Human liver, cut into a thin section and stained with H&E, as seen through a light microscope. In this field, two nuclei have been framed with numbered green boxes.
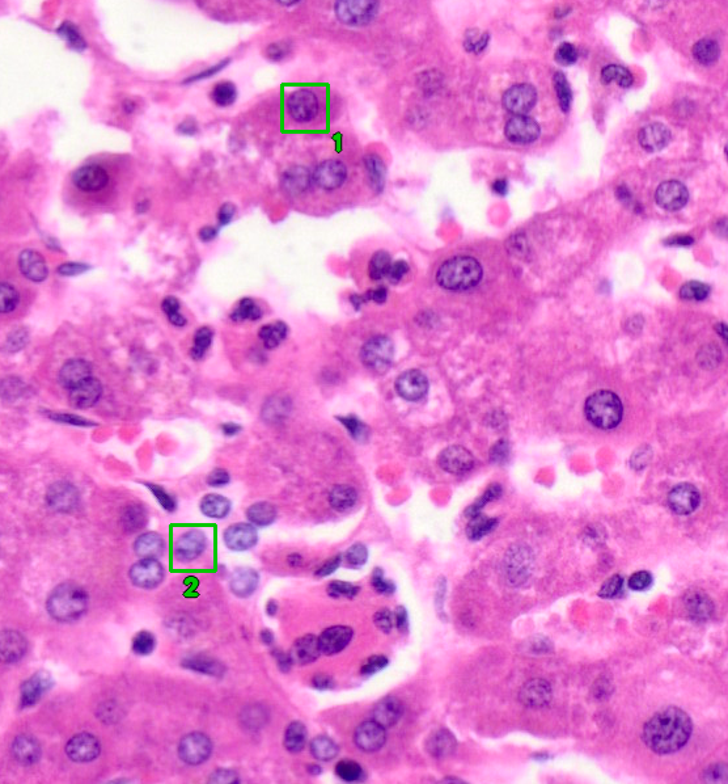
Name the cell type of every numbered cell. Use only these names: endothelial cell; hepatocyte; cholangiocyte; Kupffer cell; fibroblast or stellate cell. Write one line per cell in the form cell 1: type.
cell 1: hepatocyte
cell 2: cholangiocyte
